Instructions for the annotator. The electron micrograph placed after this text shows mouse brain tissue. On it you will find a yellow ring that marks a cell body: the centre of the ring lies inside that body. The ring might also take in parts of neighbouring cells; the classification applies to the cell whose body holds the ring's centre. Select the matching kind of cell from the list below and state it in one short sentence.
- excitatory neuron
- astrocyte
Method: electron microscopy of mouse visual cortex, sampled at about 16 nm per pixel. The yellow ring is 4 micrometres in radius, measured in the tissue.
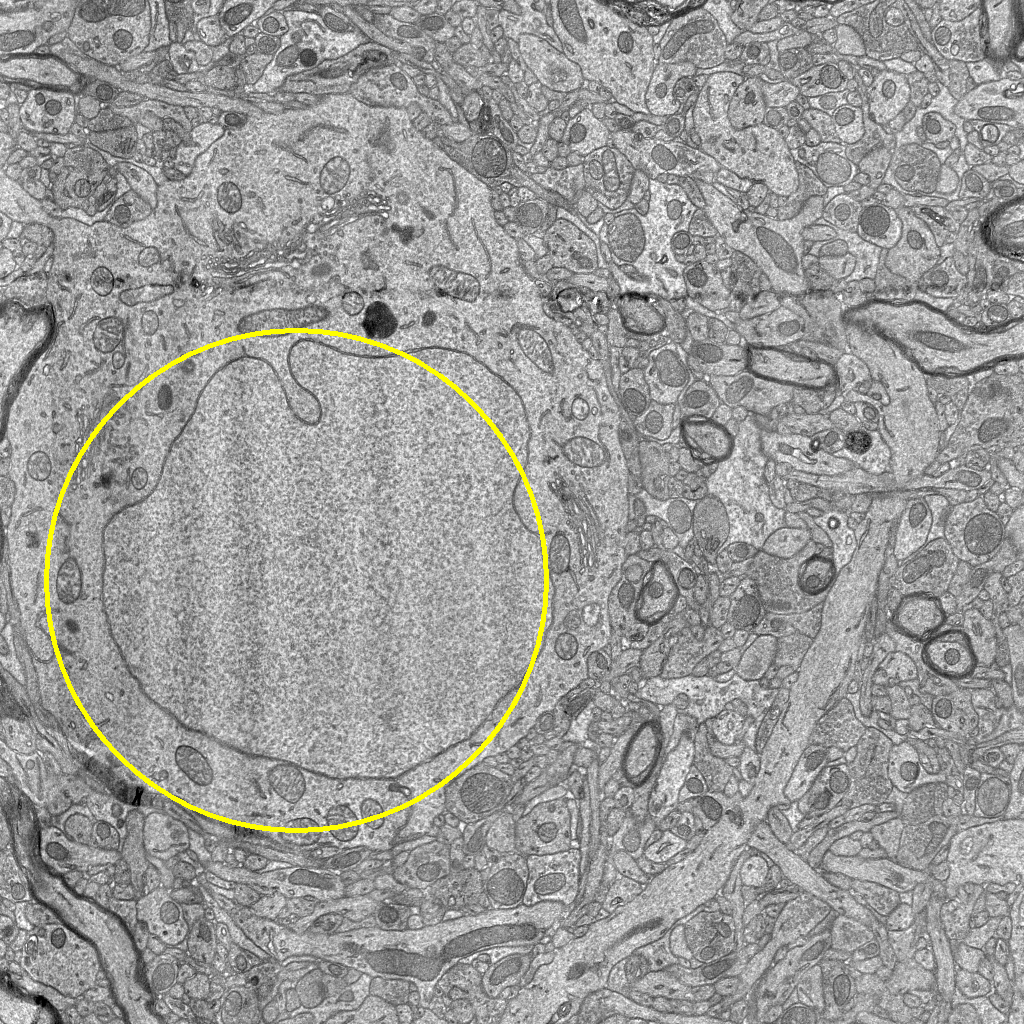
The centre of the ring lies in the cell body of an excitatory neuron.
